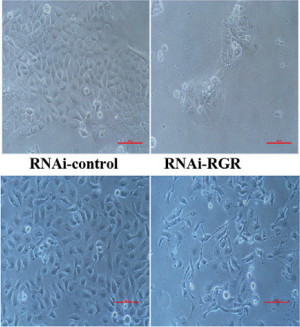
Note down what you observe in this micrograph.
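In the upper right field the cells are sparse and gathered in small, irregular clusters, with wide empty spaces between them and small fragments scattered around. In the lower right field the cells are more loosely spaced and many look shrunken or drawn out into narrower shapes than their neighbours on the left.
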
